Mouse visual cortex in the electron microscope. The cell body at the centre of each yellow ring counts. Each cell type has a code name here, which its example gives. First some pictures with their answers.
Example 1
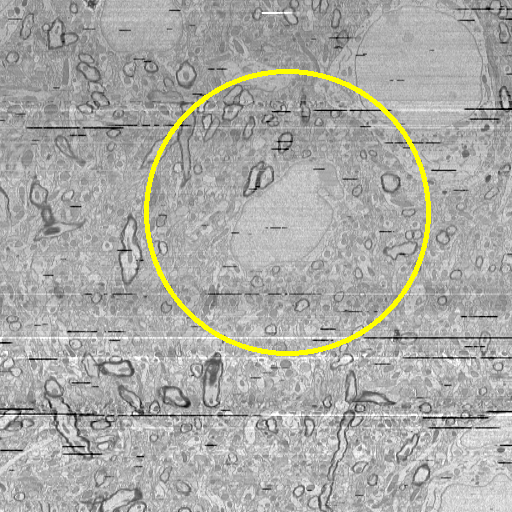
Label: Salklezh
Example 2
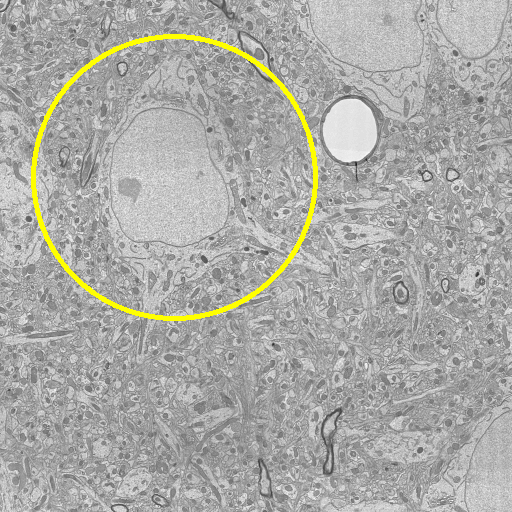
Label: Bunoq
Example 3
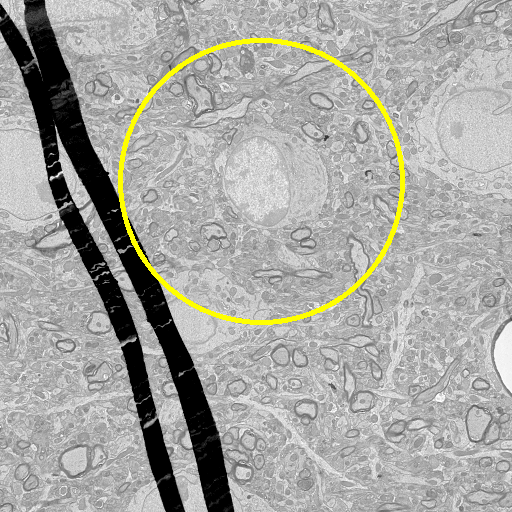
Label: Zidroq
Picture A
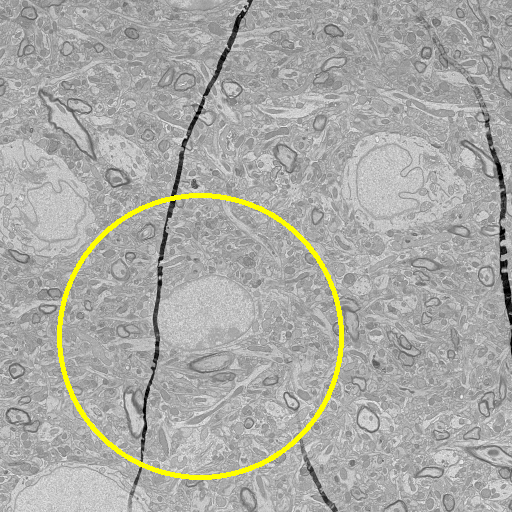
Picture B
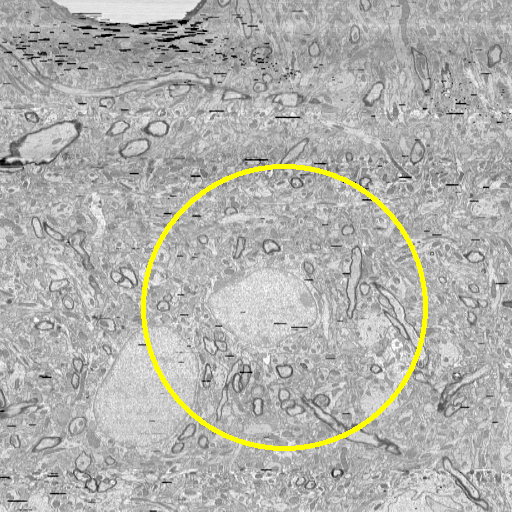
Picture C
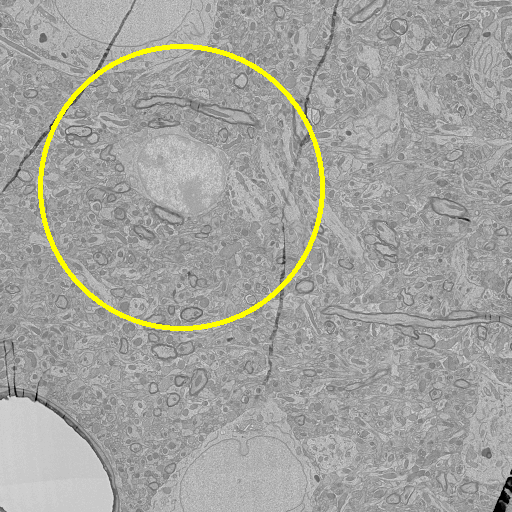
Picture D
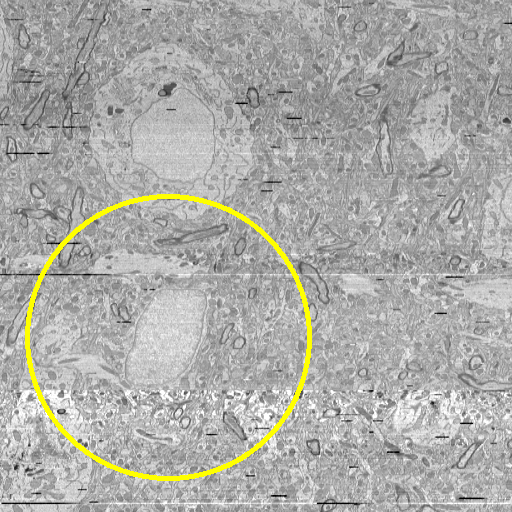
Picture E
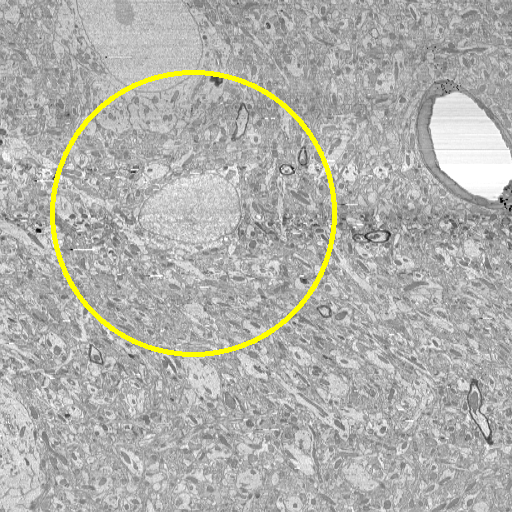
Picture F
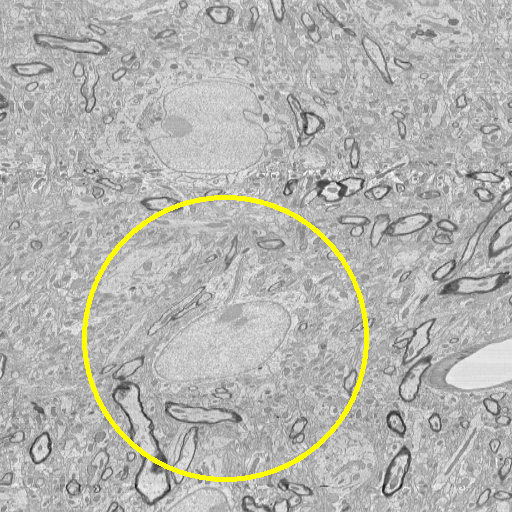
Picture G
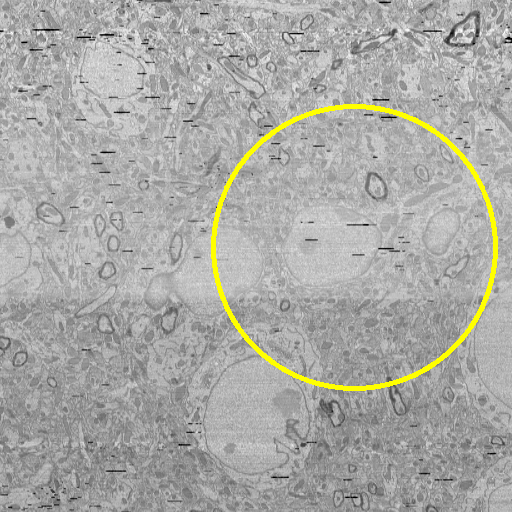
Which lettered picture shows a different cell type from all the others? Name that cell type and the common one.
Different: C, Zidroq. Others: Salklezh.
